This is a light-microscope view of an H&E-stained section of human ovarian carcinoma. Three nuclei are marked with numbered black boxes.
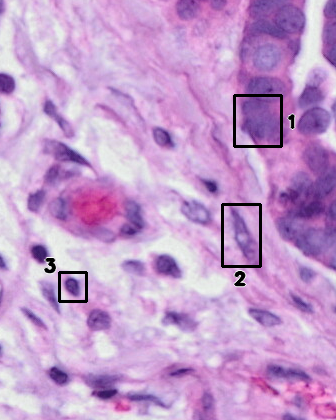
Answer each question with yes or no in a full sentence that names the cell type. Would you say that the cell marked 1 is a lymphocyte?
No, it is a carcinoma cell, not a lymphocyte, that number 1 marks.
